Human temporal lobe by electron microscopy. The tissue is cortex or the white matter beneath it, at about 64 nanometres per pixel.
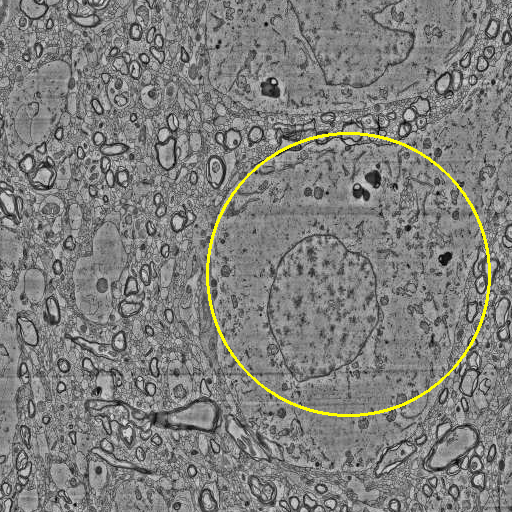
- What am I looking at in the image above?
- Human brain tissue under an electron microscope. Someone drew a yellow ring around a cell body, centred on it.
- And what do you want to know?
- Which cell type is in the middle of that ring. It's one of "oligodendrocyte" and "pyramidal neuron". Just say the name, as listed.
pyramidal neuron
